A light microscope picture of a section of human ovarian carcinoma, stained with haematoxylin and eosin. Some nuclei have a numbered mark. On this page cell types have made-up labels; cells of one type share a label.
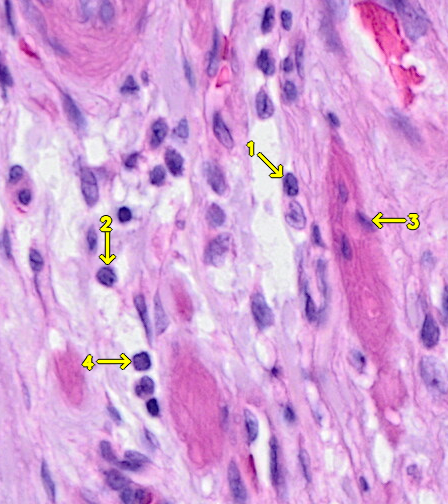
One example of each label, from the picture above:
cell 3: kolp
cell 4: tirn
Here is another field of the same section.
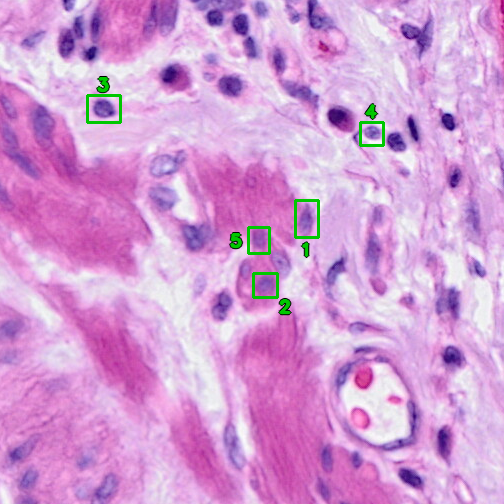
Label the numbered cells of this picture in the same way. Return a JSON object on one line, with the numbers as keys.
{"1": "kolp", "2": "kolp", "3": "tirn", "4": "tirn", "5": "kolp"}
